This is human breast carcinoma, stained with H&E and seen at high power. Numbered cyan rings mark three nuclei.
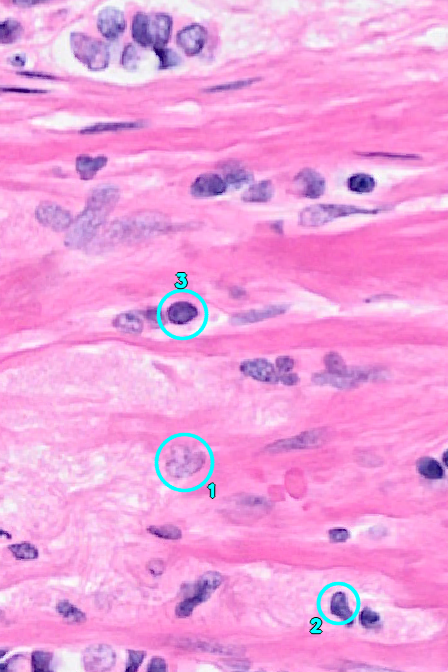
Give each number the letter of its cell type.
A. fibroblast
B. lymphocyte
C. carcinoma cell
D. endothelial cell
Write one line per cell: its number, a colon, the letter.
1: A
2: B
3: B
